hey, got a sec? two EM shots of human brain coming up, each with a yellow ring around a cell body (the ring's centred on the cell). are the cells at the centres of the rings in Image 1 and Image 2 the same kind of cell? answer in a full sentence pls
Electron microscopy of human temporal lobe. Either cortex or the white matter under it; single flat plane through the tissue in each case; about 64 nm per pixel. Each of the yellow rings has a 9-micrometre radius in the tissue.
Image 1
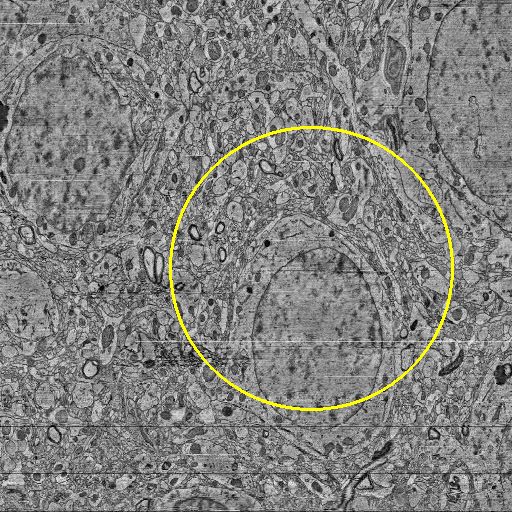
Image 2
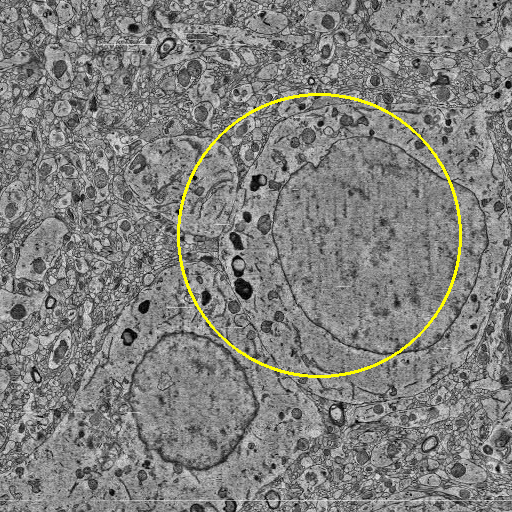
Yes, both are the same kind of cell.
